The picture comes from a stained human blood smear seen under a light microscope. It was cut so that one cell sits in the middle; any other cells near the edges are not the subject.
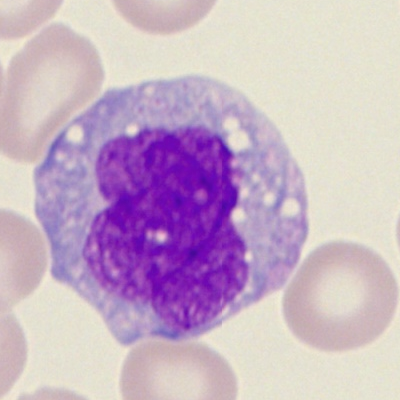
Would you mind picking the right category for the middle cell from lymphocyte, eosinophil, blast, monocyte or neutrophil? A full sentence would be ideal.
The middle of this crop is occupied by a monocyte.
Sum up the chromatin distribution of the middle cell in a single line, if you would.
Check the chromatin: it is fine and not coarsely clumped.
